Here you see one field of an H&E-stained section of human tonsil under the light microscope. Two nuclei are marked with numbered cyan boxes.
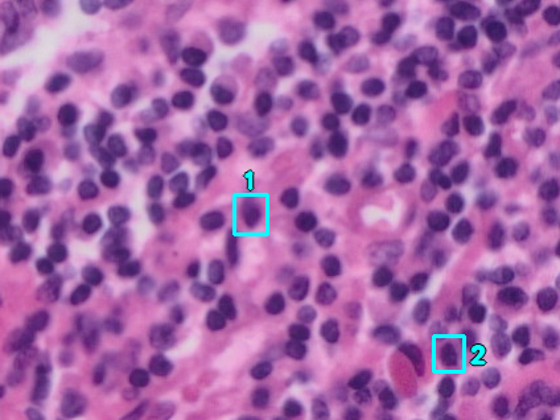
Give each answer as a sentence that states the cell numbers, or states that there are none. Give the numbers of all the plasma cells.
Cell 2 is a plasma cell, while every other numbered cell is not.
